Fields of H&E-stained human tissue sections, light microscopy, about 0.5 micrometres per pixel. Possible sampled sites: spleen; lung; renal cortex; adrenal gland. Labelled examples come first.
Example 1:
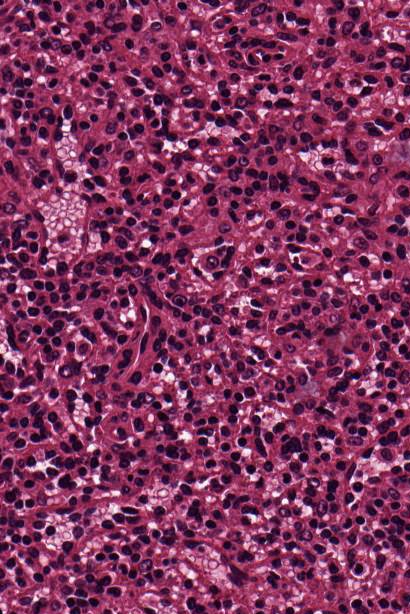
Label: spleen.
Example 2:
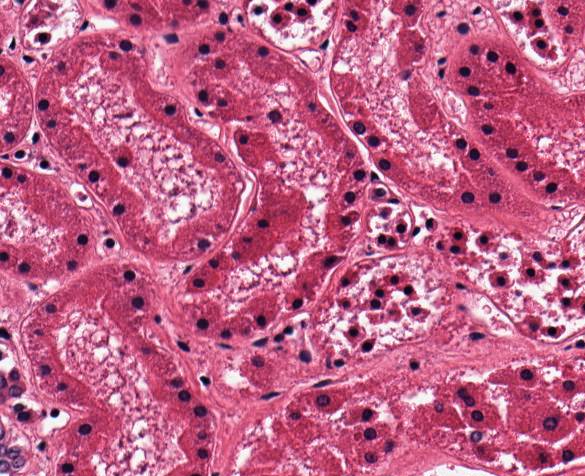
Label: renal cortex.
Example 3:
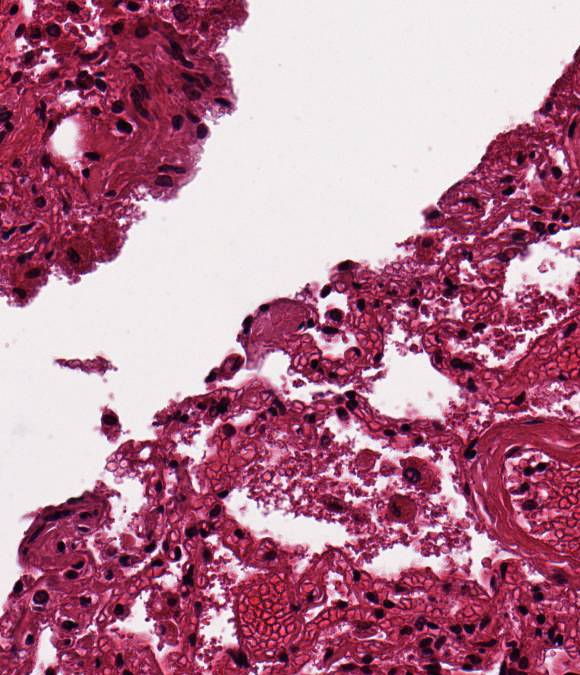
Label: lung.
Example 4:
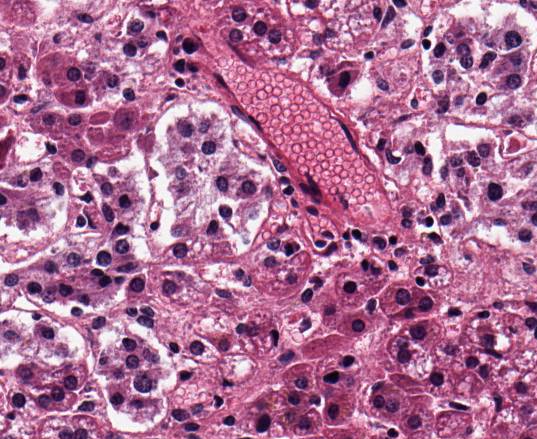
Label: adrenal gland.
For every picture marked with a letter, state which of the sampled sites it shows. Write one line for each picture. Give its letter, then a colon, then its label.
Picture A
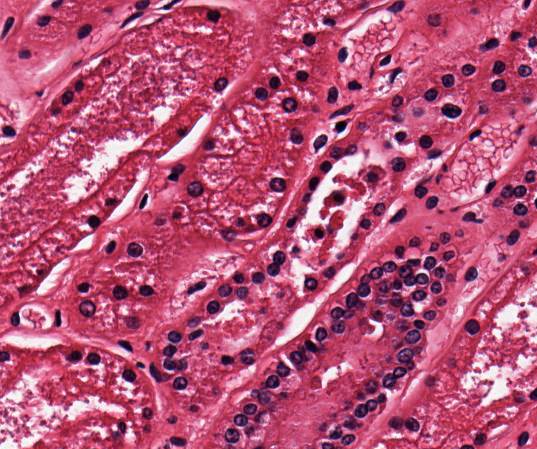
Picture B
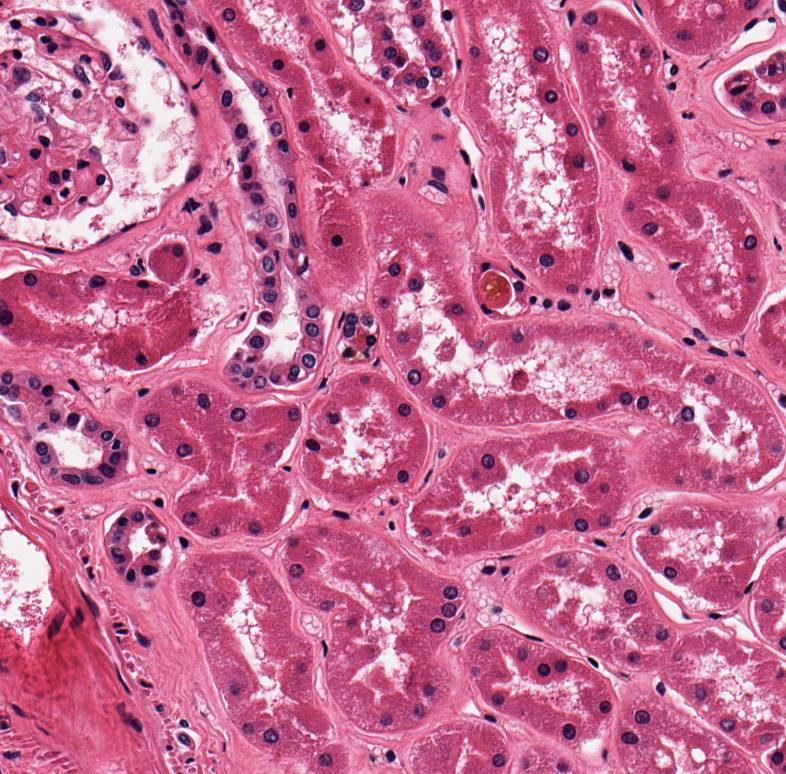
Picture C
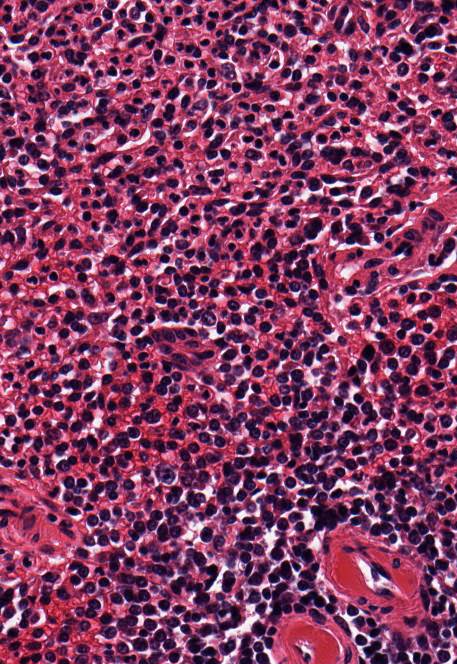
A: renal cortex.
B: renal cortex.
C: spleen.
